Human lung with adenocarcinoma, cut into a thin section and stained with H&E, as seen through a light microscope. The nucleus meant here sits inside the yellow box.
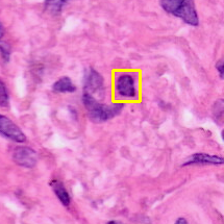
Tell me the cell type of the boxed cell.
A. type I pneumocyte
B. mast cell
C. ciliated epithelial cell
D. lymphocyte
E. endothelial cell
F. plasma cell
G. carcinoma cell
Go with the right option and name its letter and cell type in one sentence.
Among the choices, option B is correct, the boxed cell being a mast cell.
